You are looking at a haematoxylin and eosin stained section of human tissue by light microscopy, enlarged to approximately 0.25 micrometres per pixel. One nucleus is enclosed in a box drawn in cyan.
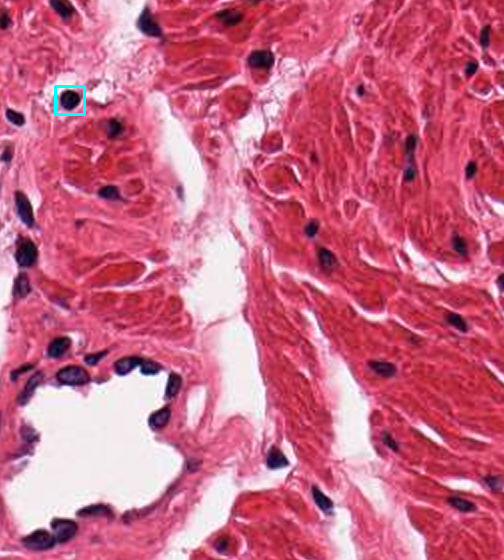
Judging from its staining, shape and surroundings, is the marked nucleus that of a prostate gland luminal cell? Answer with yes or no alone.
no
